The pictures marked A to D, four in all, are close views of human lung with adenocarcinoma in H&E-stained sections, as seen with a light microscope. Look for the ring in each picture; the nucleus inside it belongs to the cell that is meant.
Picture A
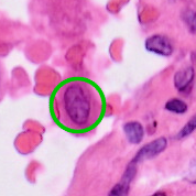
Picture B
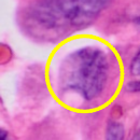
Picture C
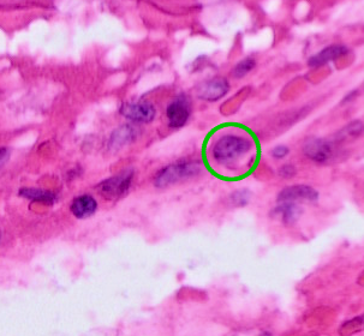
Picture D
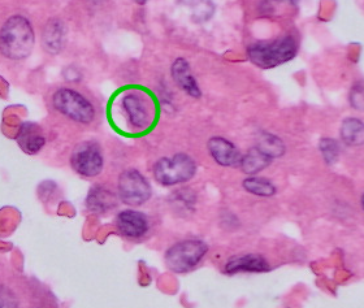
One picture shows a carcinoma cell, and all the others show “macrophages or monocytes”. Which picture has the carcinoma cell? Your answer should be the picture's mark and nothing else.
B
